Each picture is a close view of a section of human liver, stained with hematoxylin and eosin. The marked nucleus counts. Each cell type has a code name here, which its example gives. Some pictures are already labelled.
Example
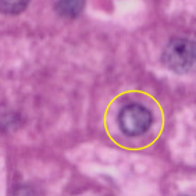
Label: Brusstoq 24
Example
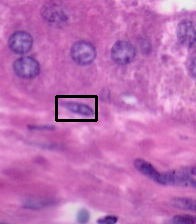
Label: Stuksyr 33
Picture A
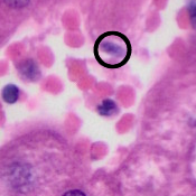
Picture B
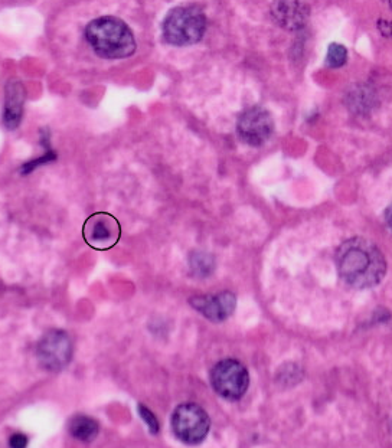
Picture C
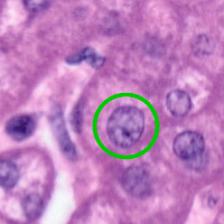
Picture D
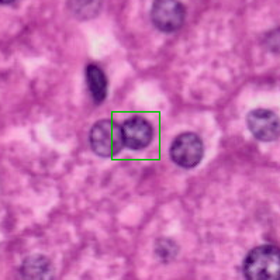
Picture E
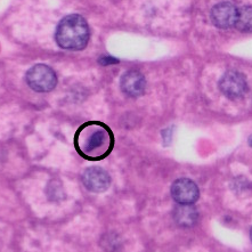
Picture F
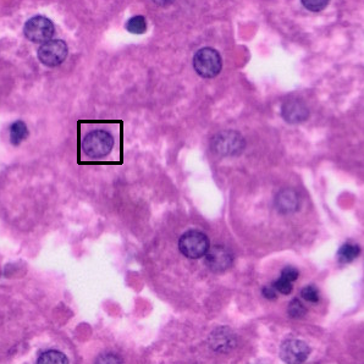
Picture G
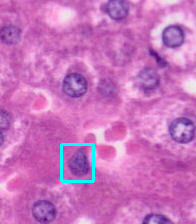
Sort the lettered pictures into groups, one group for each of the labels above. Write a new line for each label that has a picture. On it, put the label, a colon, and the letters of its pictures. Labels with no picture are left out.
Brusstoq 24: C, D, F
Stuksyr 33: A, B, E, G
